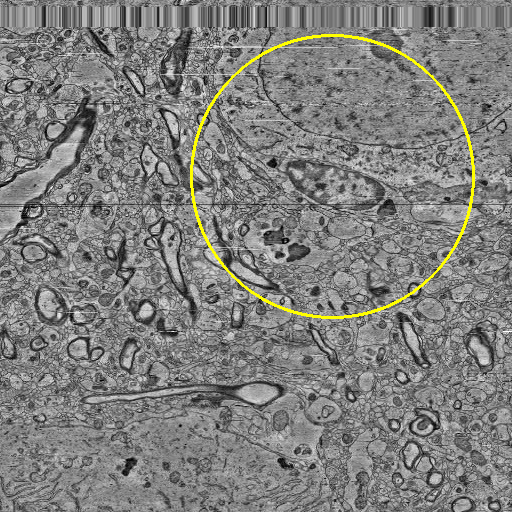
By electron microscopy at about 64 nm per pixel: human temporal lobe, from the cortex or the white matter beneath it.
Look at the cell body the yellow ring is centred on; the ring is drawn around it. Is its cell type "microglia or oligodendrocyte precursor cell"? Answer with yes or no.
Yes, that is its cell type.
